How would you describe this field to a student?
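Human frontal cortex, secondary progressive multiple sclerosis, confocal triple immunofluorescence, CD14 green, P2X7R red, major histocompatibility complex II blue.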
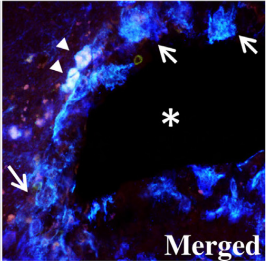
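On the upper left wall of the vessel a few rounded cells appear whitish where green, red and blue overlap. Other cells with green and blue label and branching outlines sit at the upper edge of the vessel and below left of it.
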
